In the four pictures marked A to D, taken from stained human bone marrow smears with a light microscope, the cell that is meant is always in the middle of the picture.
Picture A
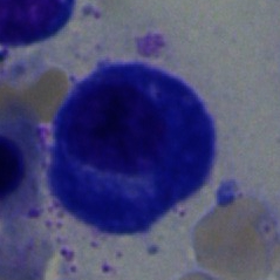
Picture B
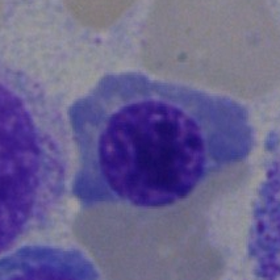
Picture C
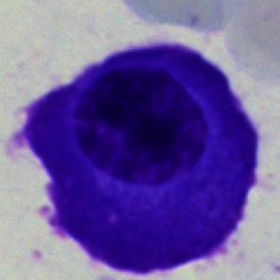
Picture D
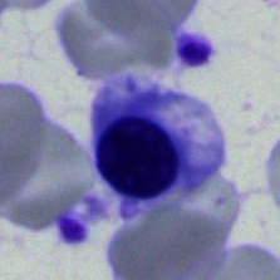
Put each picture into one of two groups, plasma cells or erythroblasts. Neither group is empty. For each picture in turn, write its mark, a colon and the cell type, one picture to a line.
A: plasma cell
B: erythroblast
C: plasma cell
D: erythroblast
